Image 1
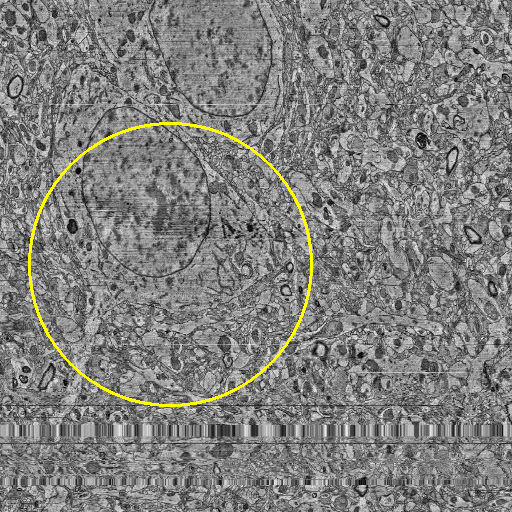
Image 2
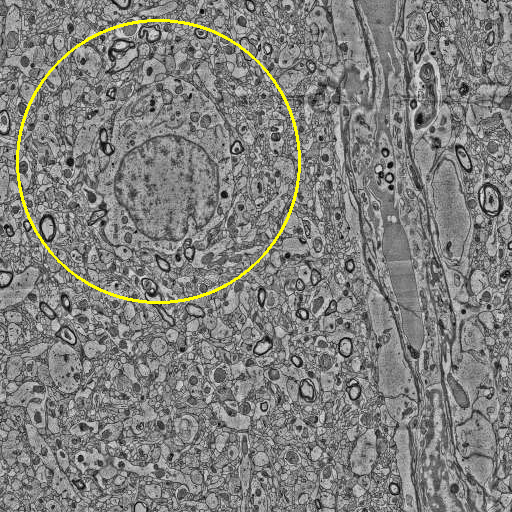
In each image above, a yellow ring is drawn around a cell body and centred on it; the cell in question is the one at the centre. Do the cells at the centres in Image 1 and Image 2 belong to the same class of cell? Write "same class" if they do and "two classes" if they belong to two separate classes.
two classes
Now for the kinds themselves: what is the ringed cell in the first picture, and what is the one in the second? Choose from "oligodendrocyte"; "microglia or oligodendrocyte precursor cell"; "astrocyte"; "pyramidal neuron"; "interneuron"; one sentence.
Here the first cell is a pyramidal neuron and the second cell is an interneuron.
